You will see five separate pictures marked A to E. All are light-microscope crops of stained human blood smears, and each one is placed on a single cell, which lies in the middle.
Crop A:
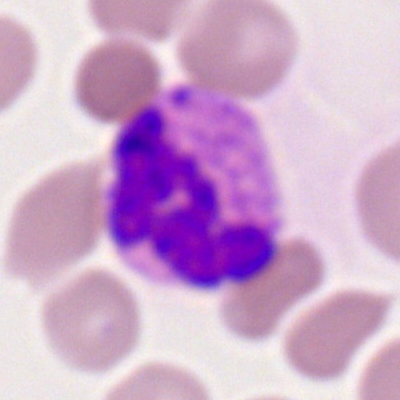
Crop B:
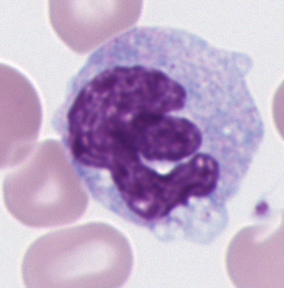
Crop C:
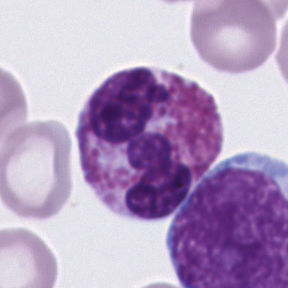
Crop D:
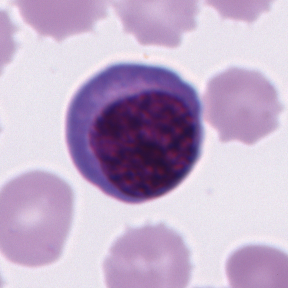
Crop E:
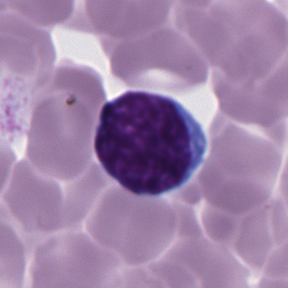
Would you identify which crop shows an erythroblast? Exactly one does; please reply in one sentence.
Crop D, and no other, is the one that shows an erythroblast.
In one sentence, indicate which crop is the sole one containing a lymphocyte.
The crop carrying a lymphocyte at the center is crop E.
